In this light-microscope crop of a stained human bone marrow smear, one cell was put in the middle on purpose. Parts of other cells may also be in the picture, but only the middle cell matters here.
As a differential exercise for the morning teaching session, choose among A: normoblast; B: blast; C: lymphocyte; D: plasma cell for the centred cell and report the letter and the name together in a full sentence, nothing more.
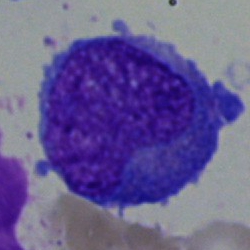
Option B correctly states that the central cell is a blast.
